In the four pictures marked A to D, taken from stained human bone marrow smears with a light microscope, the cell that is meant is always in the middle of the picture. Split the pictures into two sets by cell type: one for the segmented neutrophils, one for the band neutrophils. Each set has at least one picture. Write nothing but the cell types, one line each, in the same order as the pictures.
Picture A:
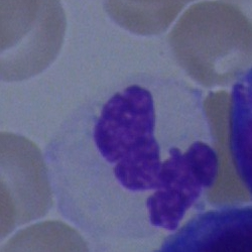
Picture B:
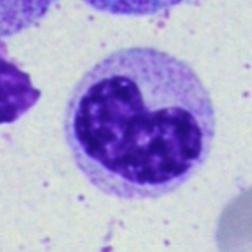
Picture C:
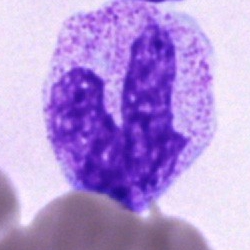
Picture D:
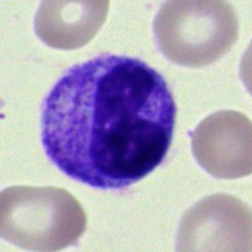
segmented neutrophil
band neutrophil
band neutrophil
band neutrophil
